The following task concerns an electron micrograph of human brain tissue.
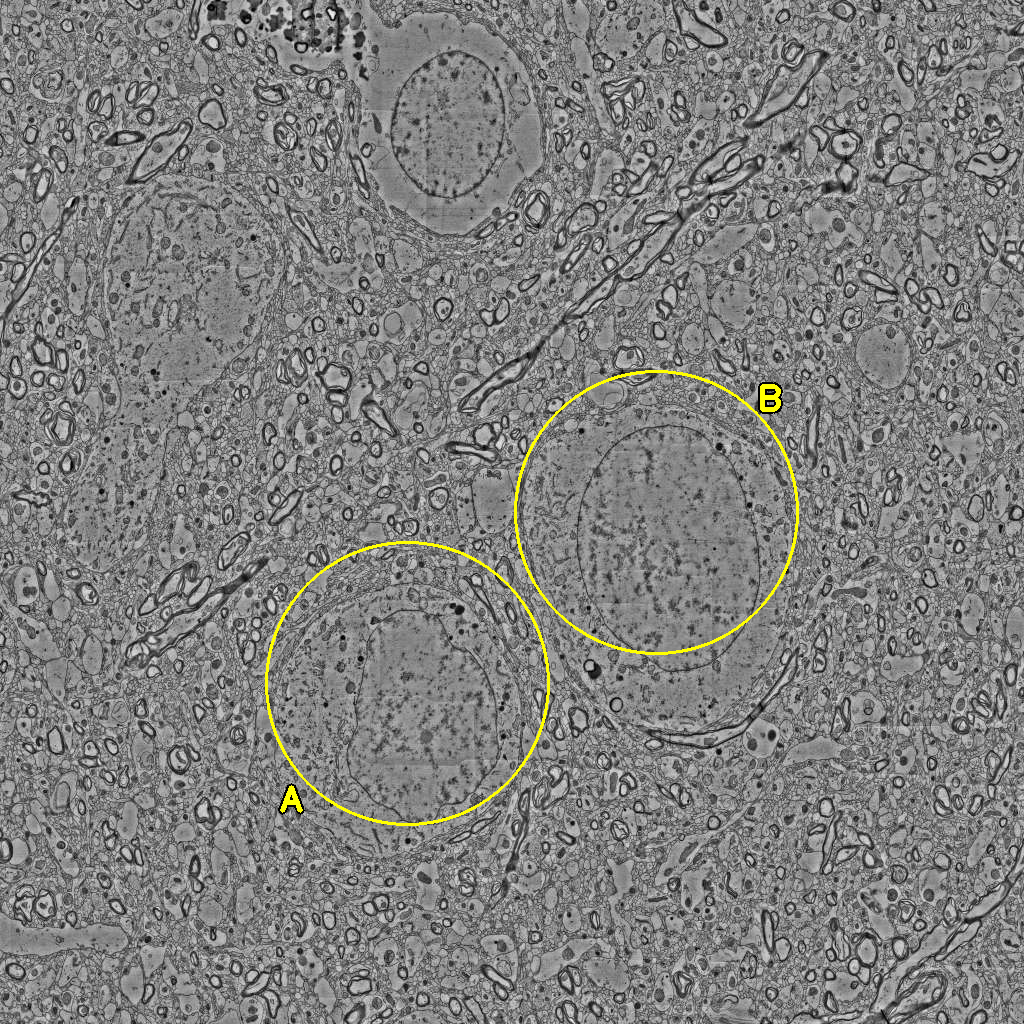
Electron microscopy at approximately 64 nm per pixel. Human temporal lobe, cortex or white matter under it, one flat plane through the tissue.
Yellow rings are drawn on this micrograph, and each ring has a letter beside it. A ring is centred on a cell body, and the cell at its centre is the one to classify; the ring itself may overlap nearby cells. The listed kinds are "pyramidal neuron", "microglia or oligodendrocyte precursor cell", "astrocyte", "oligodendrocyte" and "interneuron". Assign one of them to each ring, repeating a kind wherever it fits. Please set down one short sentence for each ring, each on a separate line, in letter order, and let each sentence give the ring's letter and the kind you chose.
The cell ringed as A is a pyramidal neuron.
The cell ringed as B is a pyramidal neuron.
